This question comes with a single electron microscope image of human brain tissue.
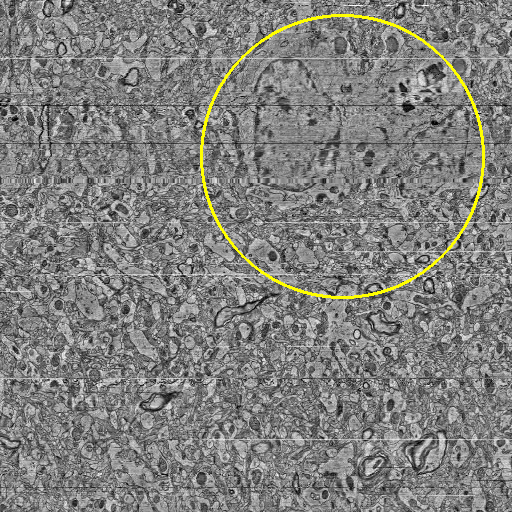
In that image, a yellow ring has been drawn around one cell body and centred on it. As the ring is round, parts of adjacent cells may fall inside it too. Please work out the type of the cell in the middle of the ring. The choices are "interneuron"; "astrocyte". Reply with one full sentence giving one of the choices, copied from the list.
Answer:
Of the choices, an astrocyte is the cell sitting in the middle of the ring.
